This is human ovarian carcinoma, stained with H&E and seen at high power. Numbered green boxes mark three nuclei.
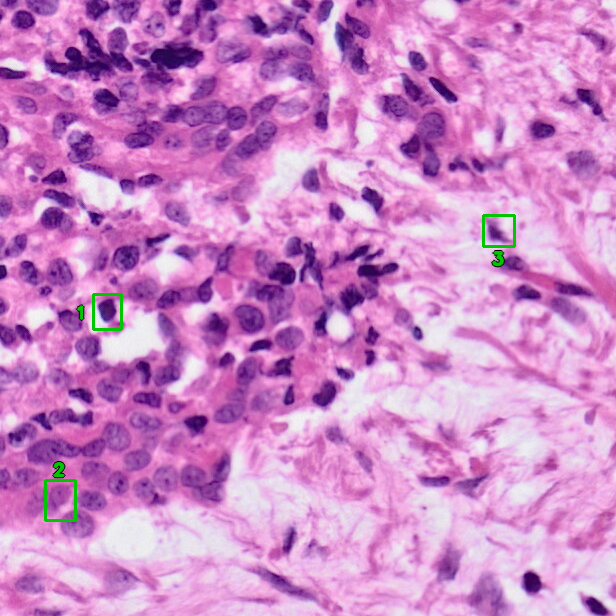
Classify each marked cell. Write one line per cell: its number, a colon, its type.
1: carcinoma cell
2: carcinoma cell
3: fibroblast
